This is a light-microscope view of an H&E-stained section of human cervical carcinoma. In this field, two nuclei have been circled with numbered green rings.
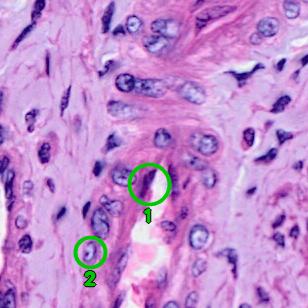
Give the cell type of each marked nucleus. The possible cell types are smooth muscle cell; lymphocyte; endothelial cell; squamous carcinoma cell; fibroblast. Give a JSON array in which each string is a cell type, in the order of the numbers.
["endothelial cell", "smooth muscle cell"]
